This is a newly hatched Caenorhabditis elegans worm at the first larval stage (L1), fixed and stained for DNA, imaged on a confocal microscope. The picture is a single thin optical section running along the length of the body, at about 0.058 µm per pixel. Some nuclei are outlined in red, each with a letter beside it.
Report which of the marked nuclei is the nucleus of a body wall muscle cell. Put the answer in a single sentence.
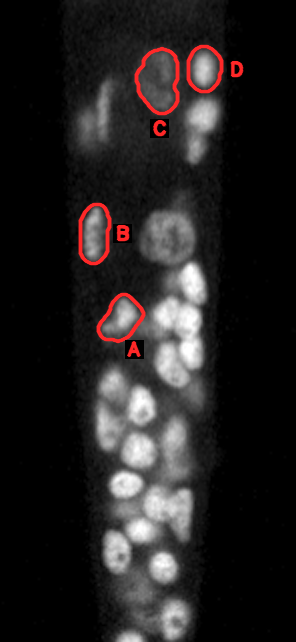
Of the marked nuclei, B is the one in a body wall muscle cell.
